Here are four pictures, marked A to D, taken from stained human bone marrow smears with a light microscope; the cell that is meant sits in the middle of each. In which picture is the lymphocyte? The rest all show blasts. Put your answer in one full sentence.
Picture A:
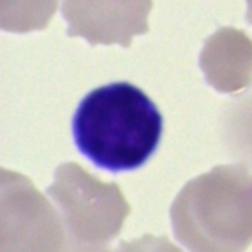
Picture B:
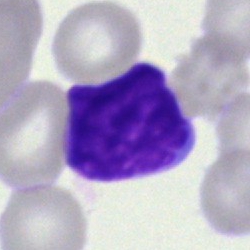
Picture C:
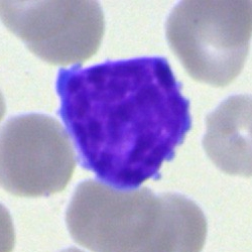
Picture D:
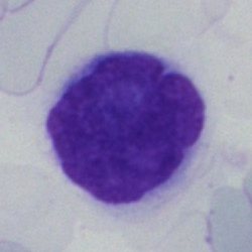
It is picture A that shows the lymphocyte.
